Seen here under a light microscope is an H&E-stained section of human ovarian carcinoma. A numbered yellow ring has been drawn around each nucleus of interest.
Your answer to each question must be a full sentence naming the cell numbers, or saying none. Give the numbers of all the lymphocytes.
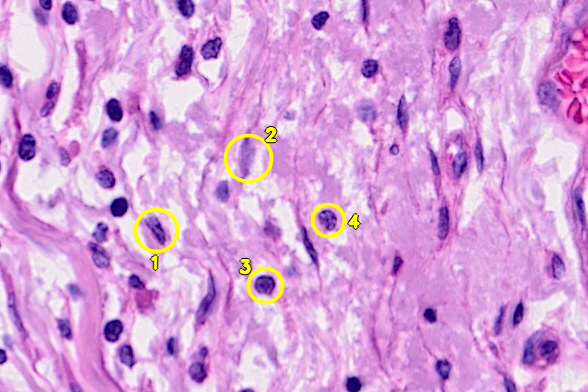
The cells tagged with numbers 3 and 4 are lymphocytes.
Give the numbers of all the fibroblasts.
The cell bearing the number 2 is a fibroblast, unlike the rest of the numbered cells.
